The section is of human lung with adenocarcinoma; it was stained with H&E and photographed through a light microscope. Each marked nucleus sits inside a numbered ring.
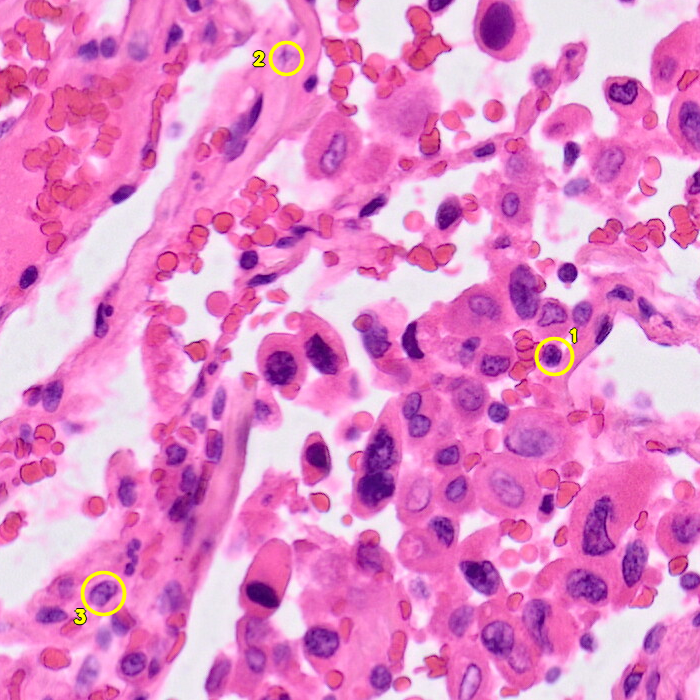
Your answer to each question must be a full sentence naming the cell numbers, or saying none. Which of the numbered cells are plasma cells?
The count of plasma cells among the numbered cells is zero.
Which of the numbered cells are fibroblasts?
Only the cell numbered 2 is a fibroblast; none of the others is.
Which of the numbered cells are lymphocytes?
The sole numbered cell that is a lymphocyte is cell 1.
